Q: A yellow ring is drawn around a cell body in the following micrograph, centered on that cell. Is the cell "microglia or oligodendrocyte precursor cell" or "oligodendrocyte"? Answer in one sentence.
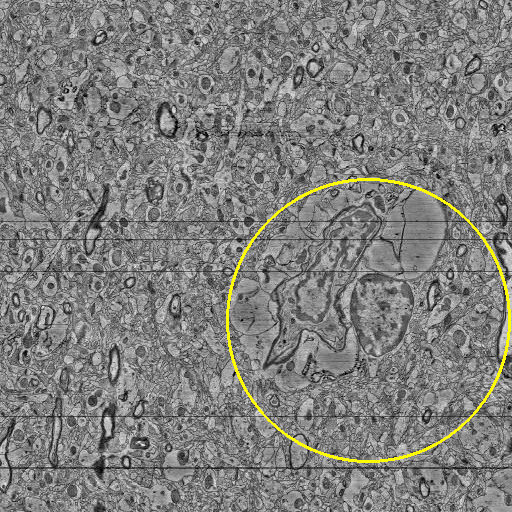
The cell in the center of the ring is a microglial cell or oligodendrocyte precursor cell.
